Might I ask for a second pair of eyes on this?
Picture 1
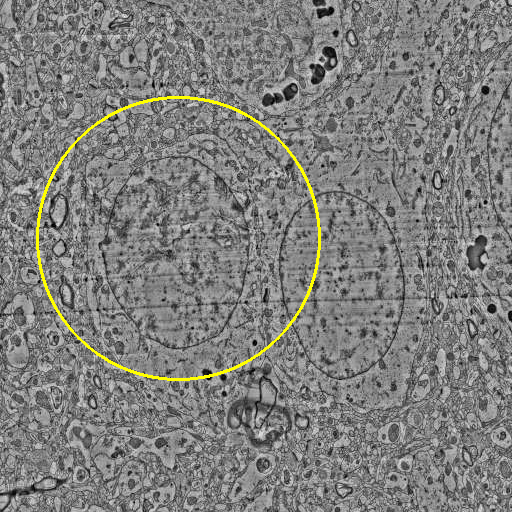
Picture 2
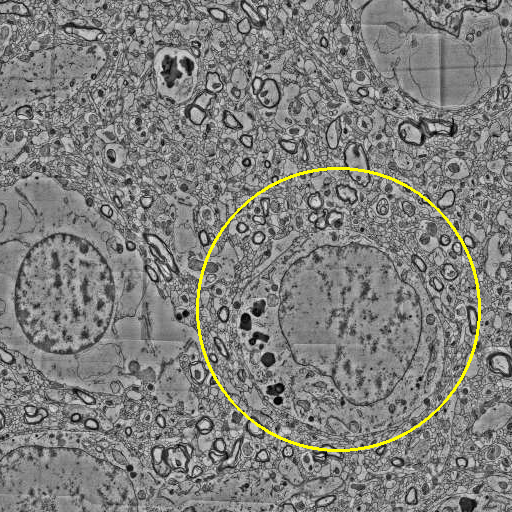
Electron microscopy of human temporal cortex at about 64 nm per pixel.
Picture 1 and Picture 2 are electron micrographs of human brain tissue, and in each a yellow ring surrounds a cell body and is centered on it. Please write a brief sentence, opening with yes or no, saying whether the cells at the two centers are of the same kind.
Yes, the cells are of the same kind.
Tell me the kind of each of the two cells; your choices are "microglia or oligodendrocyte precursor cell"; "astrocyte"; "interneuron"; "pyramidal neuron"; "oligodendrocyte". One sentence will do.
The second cell is a pyramidal neuron, just as the first is.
